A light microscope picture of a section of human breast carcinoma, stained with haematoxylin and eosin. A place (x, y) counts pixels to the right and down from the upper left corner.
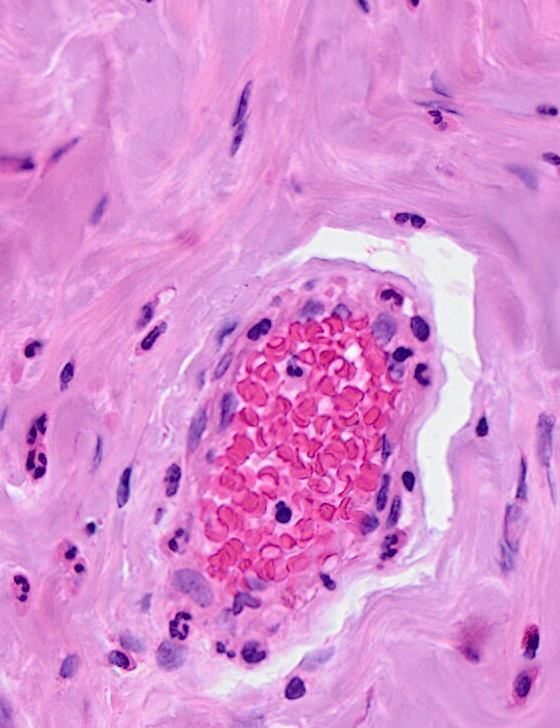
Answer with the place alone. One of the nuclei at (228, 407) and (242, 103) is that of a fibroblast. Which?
(242, 103)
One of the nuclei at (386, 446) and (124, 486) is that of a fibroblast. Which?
(124, 486)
